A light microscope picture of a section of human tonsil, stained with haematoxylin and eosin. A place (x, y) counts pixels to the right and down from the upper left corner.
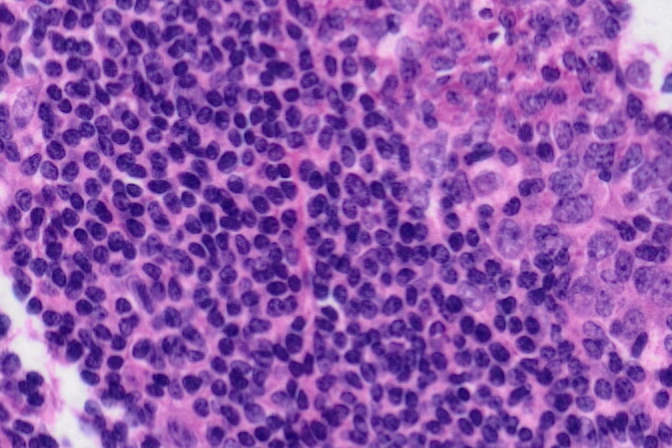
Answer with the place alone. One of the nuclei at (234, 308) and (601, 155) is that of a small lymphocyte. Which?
(234, 308)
